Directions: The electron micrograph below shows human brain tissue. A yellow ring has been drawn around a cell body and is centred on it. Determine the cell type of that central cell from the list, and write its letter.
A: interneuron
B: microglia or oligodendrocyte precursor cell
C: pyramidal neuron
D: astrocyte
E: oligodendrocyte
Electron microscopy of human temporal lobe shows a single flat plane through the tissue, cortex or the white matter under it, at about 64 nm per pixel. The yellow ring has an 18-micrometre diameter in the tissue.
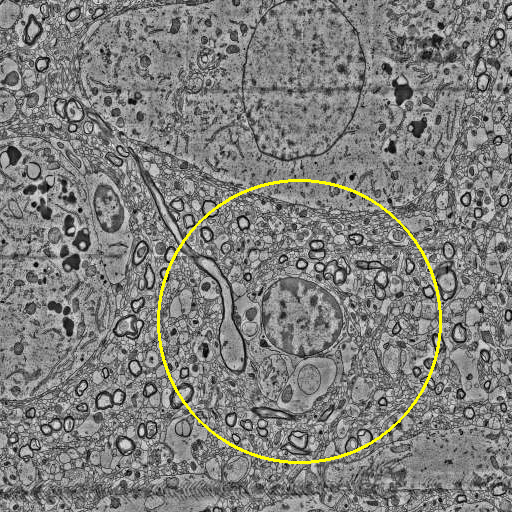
B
